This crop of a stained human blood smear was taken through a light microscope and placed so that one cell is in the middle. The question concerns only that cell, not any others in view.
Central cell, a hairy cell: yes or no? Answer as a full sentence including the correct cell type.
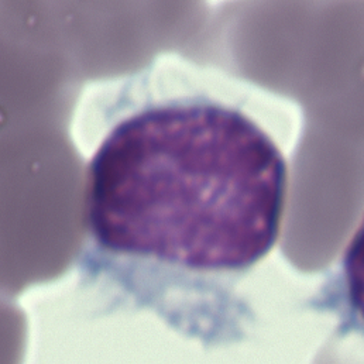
Yes, the cell right in the middle is a hairy cell.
